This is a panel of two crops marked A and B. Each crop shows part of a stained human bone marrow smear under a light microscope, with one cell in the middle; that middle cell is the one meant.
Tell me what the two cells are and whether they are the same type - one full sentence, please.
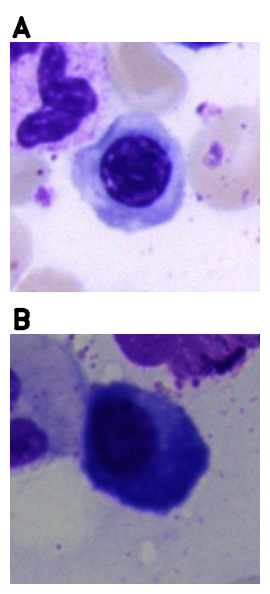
No, a normoblast is shown in crop A and a plasma cell in crop B.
